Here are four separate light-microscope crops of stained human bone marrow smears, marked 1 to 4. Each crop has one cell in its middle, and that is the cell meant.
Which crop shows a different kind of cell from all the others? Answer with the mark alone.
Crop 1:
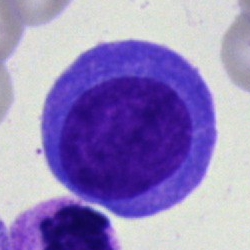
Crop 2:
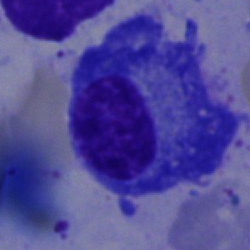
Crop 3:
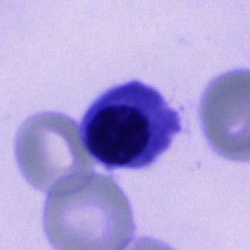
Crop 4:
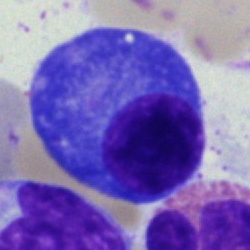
3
